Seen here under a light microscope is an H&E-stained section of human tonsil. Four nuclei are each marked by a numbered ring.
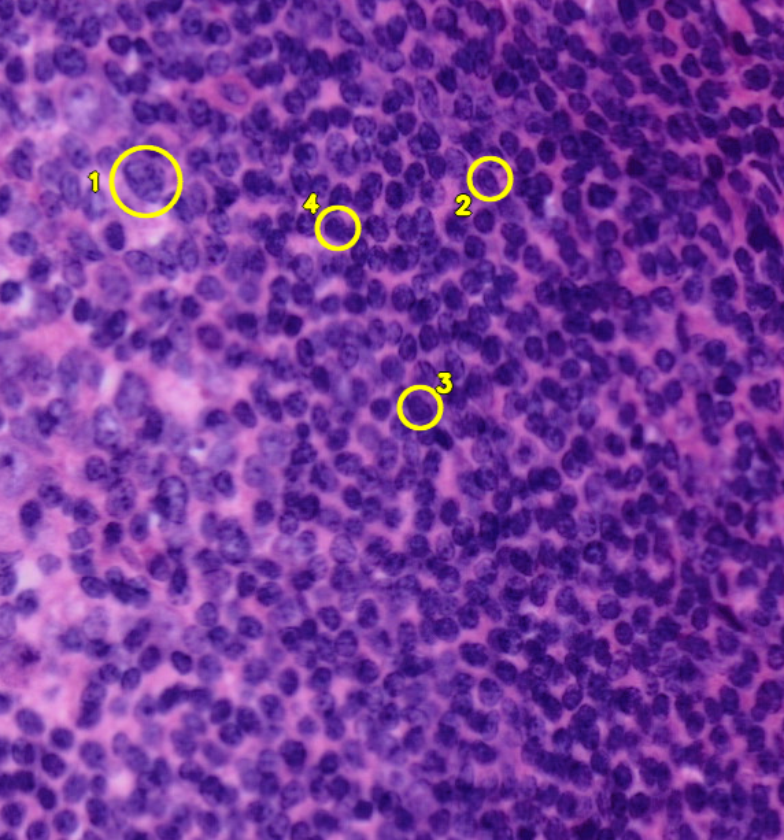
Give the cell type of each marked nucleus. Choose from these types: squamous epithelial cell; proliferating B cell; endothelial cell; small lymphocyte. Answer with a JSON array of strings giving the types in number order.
["proliferating B cell", "small lymphocyte", "small lymphocyte", "small lymphocyte"]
